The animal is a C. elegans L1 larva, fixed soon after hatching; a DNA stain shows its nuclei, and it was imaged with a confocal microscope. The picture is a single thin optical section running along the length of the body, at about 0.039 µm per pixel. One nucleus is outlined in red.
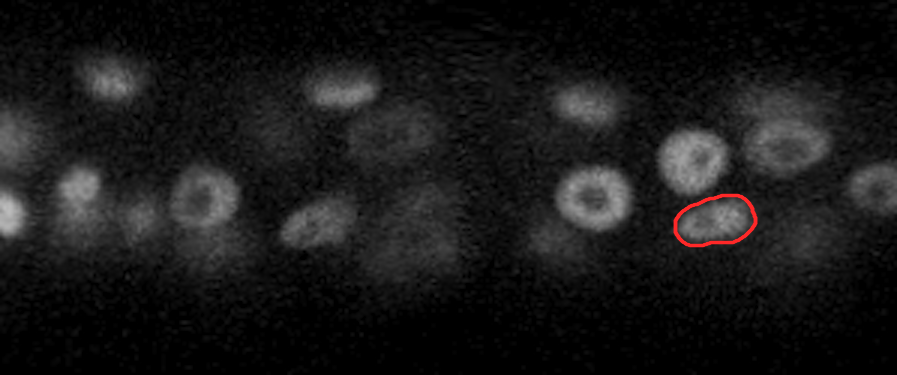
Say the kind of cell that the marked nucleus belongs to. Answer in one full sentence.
It is the nucleus of a P cell (ventral epidermal blast cell).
